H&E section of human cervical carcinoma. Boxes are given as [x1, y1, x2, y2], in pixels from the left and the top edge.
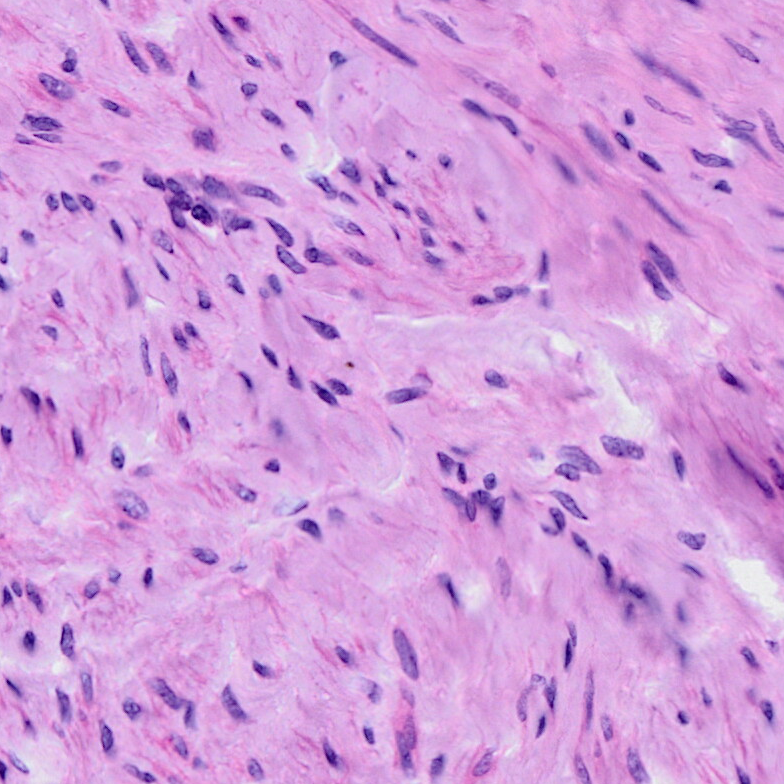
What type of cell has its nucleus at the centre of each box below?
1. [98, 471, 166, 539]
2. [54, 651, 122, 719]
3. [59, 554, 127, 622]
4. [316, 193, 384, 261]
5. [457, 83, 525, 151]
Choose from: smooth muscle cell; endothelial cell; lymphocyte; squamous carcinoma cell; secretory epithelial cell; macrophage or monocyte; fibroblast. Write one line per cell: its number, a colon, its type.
1: smooth muscle cell
2: smooth muscle cell
3: smooth muscle cell
4: fibroblast
5: fibroblast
